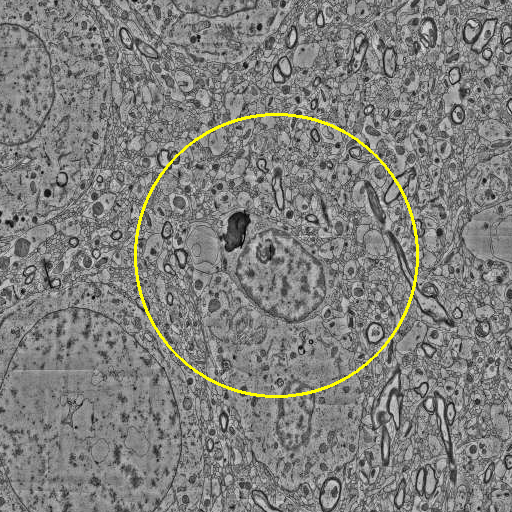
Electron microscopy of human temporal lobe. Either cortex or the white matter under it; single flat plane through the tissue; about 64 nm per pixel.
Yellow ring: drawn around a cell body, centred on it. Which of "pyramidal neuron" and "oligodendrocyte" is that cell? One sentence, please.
That cell body is from an oligodendrocyte.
